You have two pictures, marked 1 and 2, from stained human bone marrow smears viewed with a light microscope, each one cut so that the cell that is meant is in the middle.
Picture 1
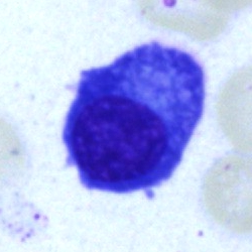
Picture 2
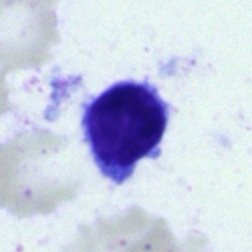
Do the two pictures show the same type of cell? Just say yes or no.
no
